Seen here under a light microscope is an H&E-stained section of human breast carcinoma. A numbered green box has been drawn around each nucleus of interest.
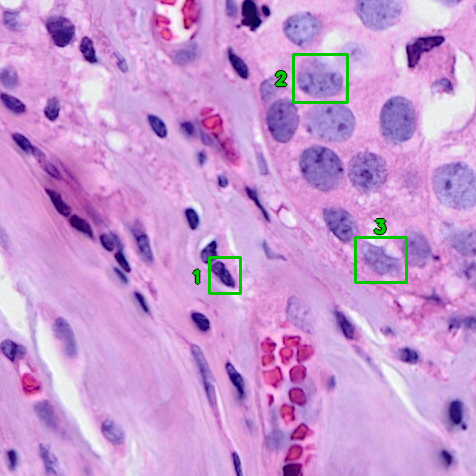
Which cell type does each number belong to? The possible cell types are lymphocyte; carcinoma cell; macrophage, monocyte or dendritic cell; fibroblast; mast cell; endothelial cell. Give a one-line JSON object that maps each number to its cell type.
{"1": "lymphocyte", "2": "carcinoma cell", "3": "carcinoma cell"}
